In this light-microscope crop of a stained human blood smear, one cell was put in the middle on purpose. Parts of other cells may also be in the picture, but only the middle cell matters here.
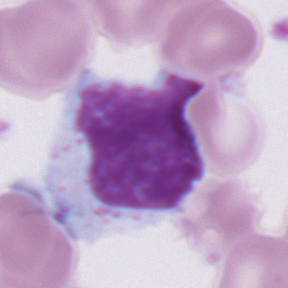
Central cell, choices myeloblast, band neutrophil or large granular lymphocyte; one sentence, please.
The cell that lies at the centre of the crop is a large granular lymphocyte.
